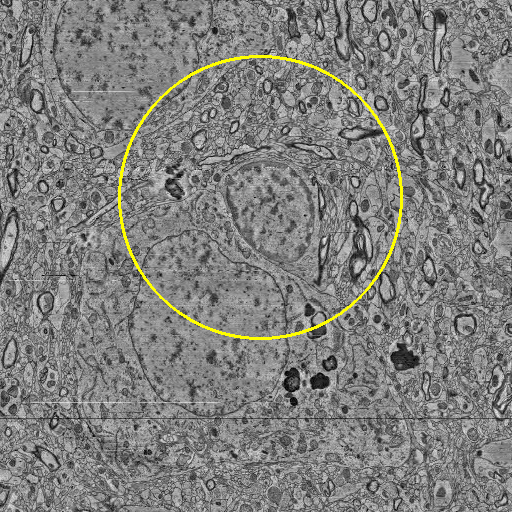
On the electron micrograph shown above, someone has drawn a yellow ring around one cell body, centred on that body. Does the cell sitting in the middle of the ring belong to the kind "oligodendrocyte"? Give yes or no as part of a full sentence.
Yes, the cell located in the middle of the ring in the micrograph is of that kind.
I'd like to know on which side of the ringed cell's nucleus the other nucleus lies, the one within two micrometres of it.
The other nucleus can be seen below it.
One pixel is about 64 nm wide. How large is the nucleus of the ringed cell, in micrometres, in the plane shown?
The nucleus comes to approximately 8 by 5 micrometres and is clearly longer than it is wide in this plane.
